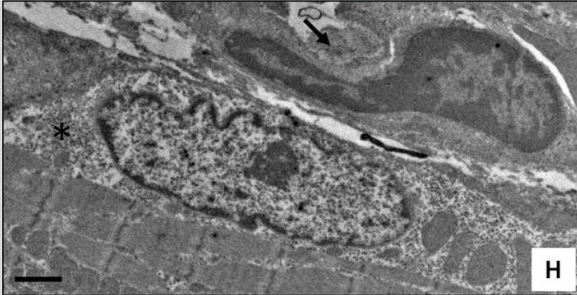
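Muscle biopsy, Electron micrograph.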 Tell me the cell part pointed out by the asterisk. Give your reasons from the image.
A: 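An elongated nucleus with an irregular, folded envelope lies beside the asterisk. Striated myofibrils lie just below the nucleus.
Hence: myonucleus.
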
